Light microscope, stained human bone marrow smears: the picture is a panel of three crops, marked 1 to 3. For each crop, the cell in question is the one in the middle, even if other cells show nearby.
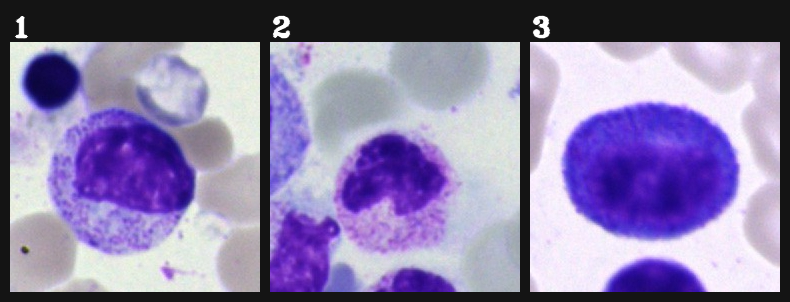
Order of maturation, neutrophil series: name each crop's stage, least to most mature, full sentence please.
The sequence of maturation runs crop 3 (a promyelocyte), crop 1 (a metamyelocyte) and crop 2 (a band neutrophil), from least to most mature.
